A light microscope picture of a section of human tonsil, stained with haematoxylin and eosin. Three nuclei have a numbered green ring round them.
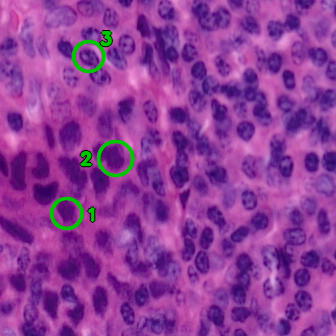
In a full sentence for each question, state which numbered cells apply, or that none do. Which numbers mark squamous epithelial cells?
The cells numbered 1 and 2 are identified as squamous epithelial cells.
